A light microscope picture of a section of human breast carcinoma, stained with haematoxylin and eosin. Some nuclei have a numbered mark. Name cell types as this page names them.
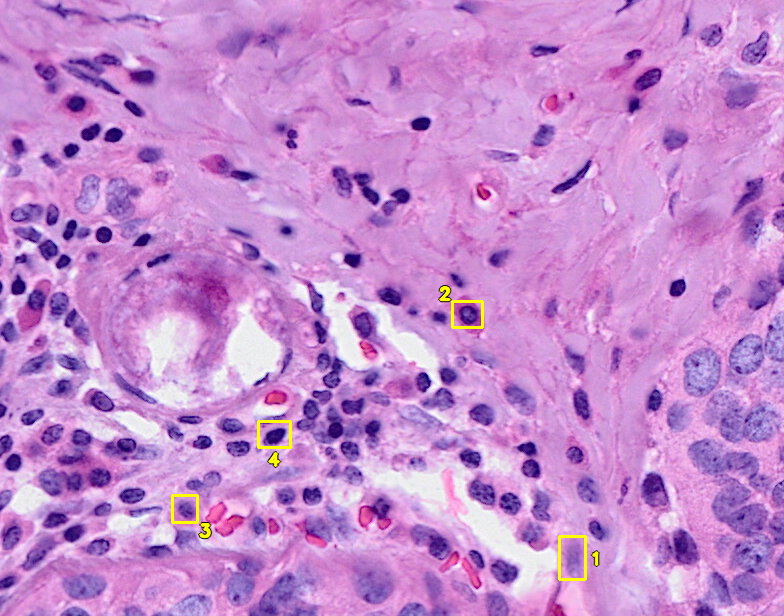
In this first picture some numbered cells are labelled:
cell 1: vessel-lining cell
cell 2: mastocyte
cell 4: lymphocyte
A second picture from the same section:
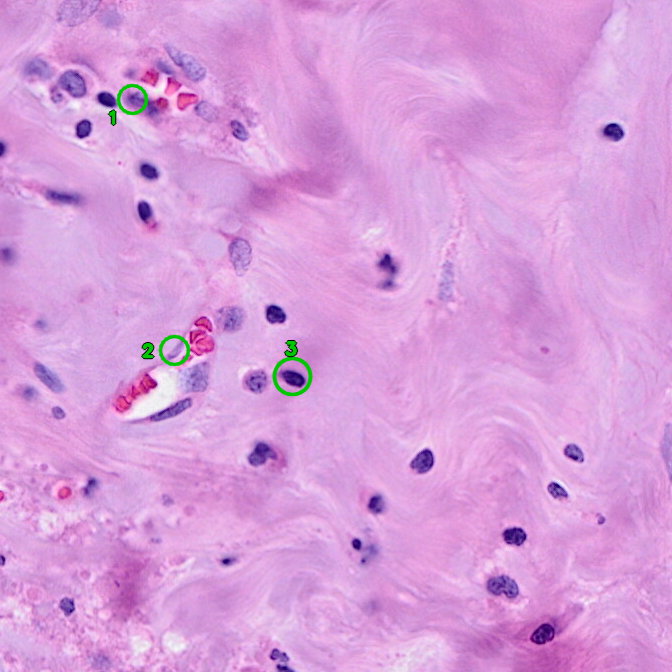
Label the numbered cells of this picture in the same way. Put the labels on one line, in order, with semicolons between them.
vessel-lining cell; vessel-lining cell; lymphocyte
